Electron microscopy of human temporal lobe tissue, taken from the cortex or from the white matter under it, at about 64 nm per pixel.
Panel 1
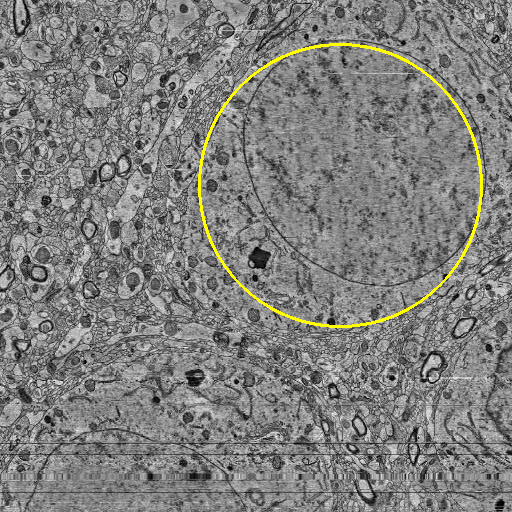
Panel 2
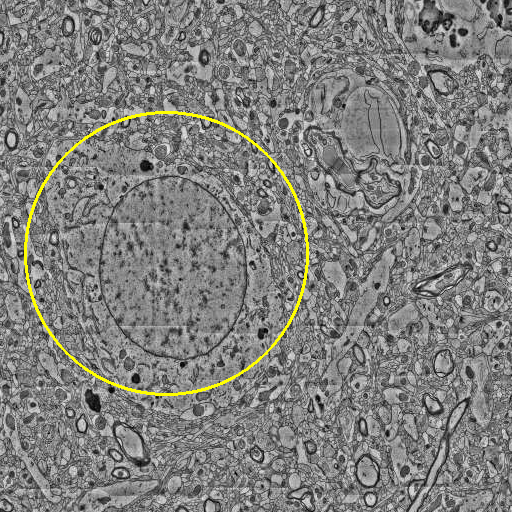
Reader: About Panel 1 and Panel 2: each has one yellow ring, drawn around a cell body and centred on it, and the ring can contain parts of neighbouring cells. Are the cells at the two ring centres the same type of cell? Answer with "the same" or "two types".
the same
